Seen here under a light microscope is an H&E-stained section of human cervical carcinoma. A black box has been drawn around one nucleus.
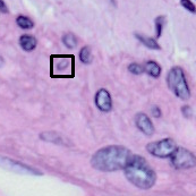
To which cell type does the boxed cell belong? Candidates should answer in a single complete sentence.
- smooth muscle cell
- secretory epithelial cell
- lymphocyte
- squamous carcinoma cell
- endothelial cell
As far as its identity is concerned, the boxed cell is a smooth muscle cell.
